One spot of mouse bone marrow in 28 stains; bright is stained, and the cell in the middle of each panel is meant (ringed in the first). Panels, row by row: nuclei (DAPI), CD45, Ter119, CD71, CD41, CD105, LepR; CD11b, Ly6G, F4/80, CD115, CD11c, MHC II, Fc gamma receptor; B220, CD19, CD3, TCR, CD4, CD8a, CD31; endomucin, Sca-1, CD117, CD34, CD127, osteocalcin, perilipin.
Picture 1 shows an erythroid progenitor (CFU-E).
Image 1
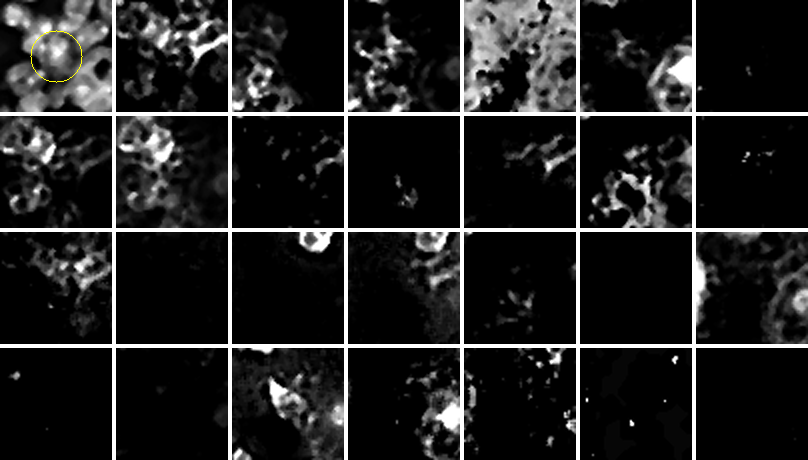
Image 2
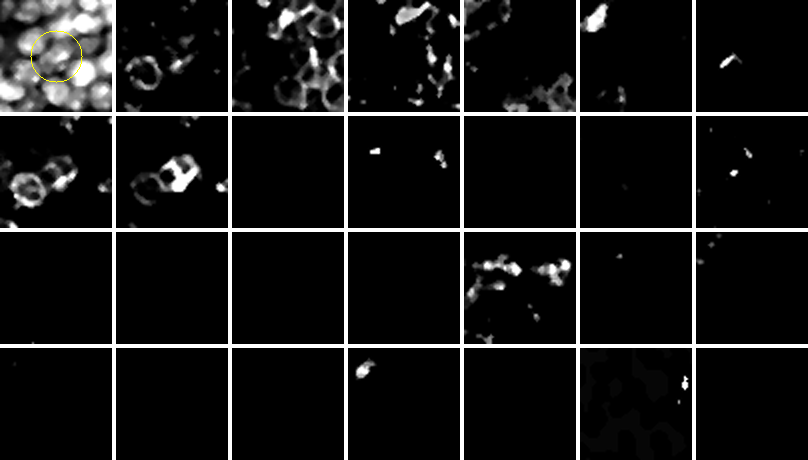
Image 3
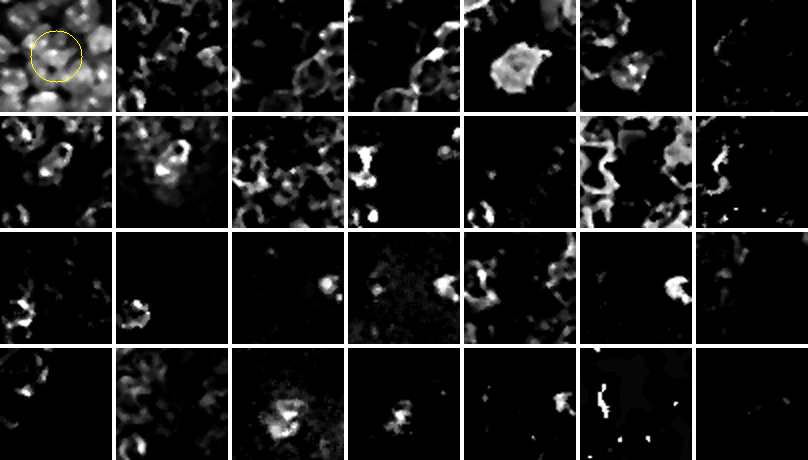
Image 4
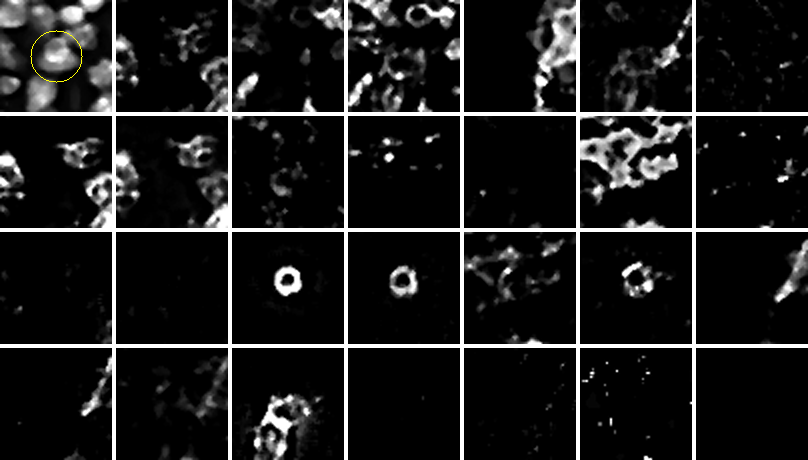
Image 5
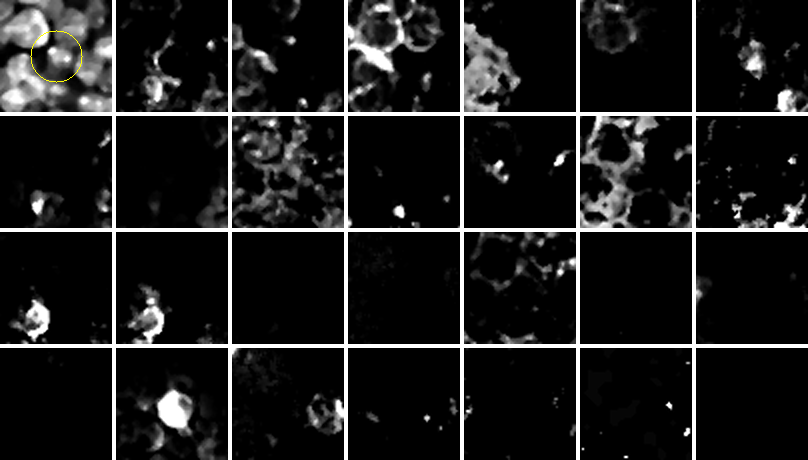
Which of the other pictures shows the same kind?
Picture 4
